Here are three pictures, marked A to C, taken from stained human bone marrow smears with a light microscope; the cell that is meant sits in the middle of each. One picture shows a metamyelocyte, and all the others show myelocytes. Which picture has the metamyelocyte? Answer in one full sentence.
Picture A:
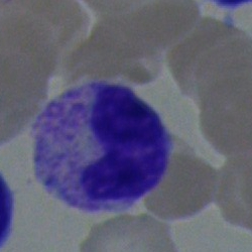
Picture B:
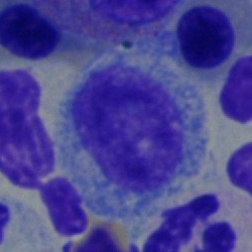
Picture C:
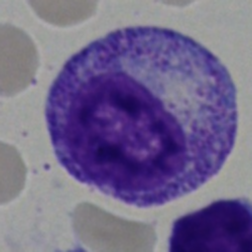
Picture A shows the metamyelocyte.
